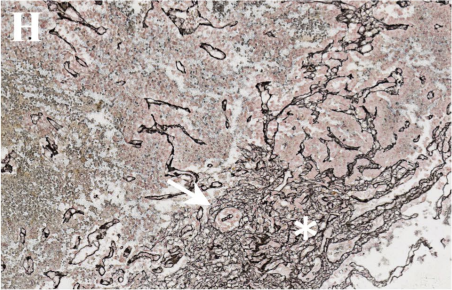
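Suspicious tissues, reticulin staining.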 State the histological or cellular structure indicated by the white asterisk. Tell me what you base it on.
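A dense tangled meshwork of black fibers occupies the lower part. Above it, cells lie in a looser fiber network. The answer: fragmentary pseudocapsule.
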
